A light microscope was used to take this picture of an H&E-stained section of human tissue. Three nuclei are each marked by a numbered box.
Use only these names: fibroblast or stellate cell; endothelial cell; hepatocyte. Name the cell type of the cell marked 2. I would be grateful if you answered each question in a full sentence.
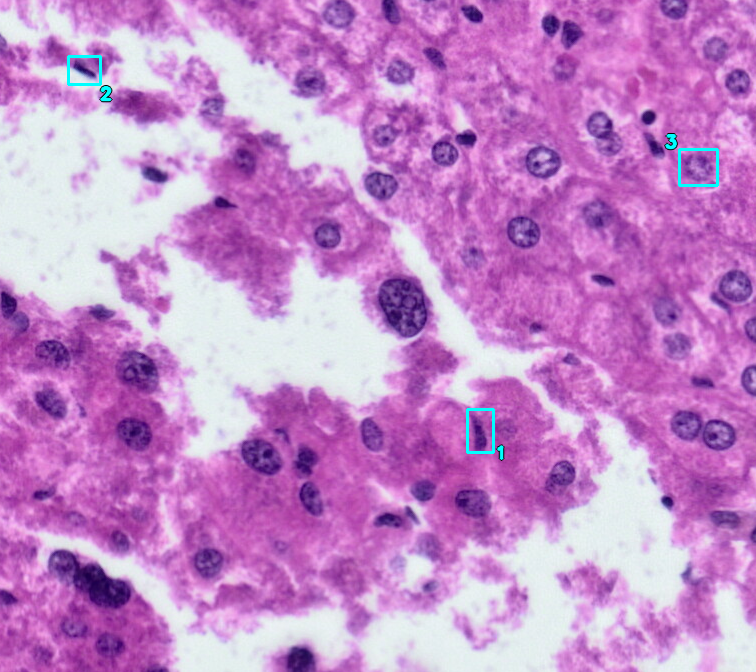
Number 2 is placed on an endothelial cell here.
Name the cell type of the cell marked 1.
As for number 1, that cell is a fibroblast or stellate cell.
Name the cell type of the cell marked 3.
Cell 3 of the marked set is a hepatocyte.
